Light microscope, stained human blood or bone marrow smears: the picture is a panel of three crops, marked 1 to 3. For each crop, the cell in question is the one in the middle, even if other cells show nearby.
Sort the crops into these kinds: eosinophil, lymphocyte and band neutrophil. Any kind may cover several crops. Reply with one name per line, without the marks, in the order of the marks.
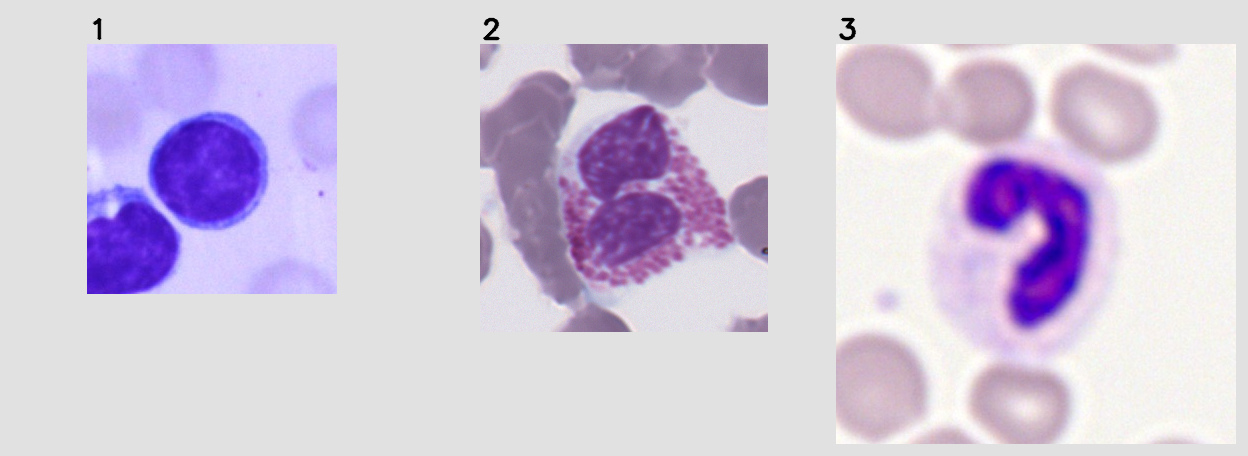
lymphocyte
eosinophil
band neutrophil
